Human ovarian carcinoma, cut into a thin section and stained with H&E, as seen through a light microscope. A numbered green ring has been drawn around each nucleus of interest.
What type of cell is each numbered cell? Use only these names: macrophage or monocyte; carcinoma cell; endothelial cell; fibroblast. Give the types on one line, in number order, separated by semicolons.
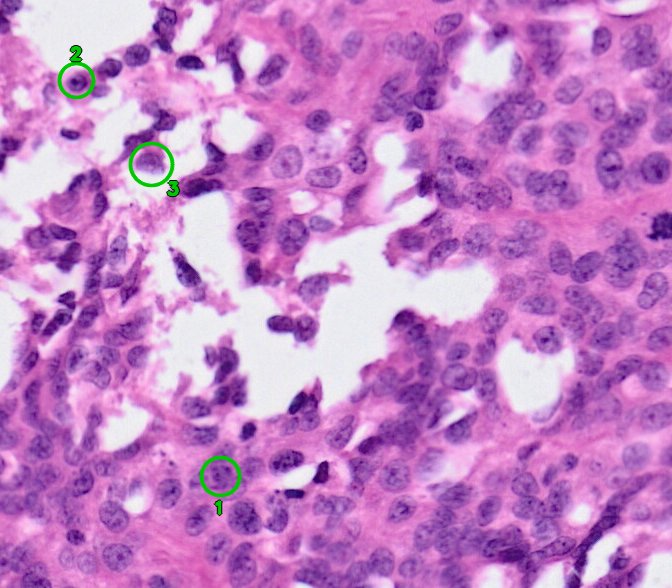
carcinoma cell; macrophage or monocyte; carcinoma cell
